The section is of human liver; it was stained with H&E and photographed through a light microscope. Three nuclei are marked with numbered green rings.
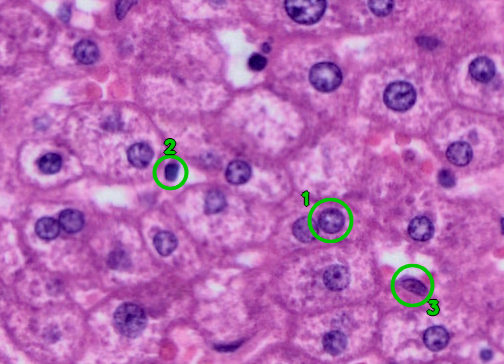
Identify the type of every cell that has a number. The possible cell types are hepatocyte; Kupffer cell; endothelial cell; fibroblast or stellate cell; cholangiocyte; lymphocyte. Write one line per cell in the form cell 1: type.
cell 1: hepatocyte
cell 2: lymphocyte
cell 3: Kupffer cell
